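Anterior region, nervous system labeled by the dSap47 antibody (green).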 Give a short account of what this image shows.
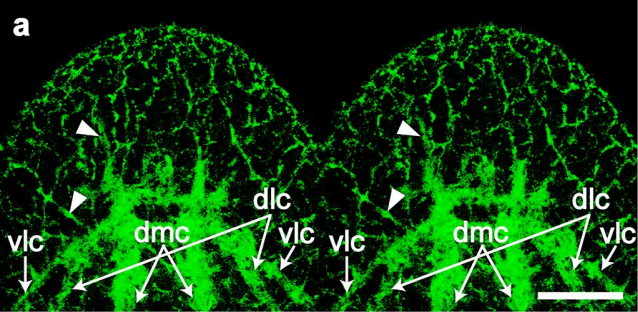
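The rest of the rounded front end is covered by a fine peripheral nerve net of thin fibres forming irregular polygons. Thin neurites run from this net toward the central mass and the cords.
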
